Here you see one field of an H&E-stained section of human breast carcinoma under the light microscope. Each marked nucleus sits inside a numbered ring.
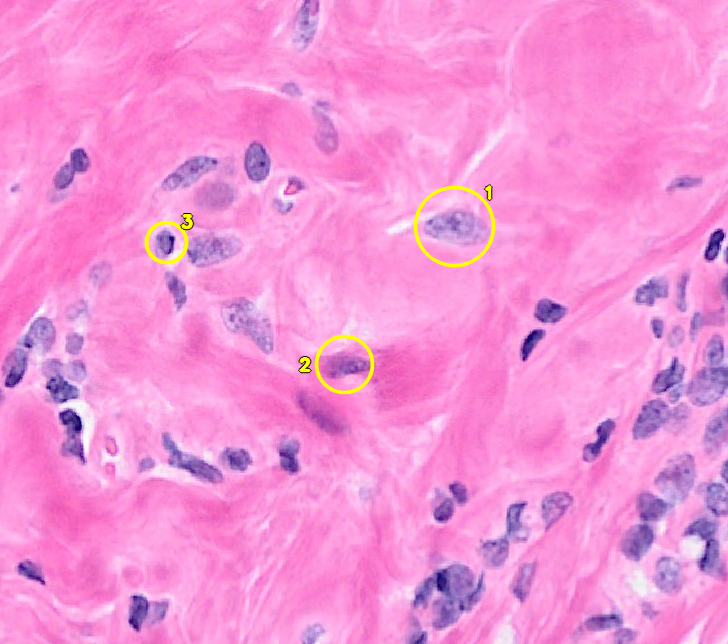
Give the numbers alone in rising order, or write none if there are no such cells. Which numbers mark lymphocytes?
3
